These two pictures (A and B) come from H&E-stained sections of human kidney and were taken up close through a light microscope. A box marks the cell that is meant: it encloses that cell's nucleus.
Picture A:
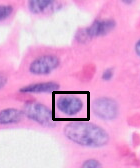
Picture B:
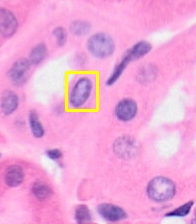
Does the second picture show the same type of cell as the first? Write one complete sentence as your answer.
Yes, they are the same type: both are collecting duct cells.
